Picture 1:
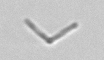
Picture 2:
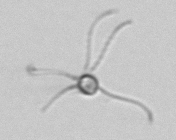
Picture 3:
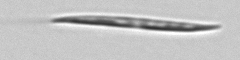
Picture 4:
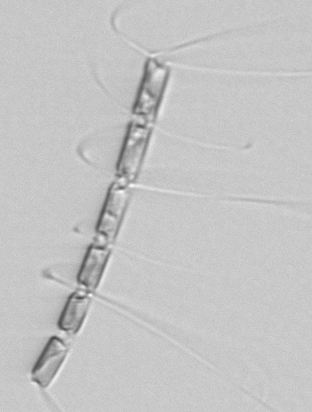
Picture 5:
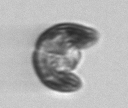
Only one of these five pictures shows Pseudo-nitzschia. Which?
Picture 3.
